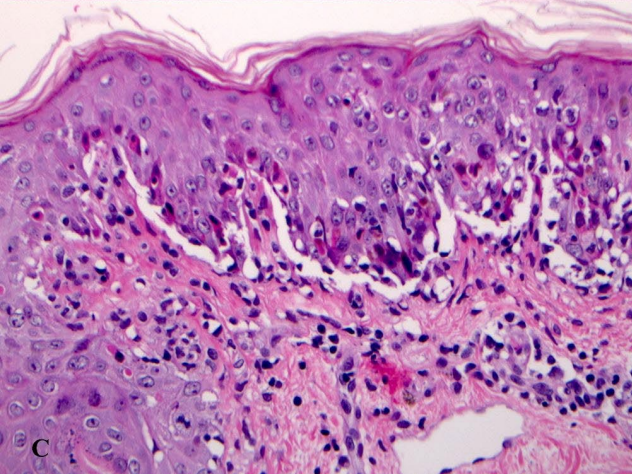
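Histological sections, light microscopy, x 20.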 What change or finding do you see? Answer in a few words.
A: blisters under the epidermis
